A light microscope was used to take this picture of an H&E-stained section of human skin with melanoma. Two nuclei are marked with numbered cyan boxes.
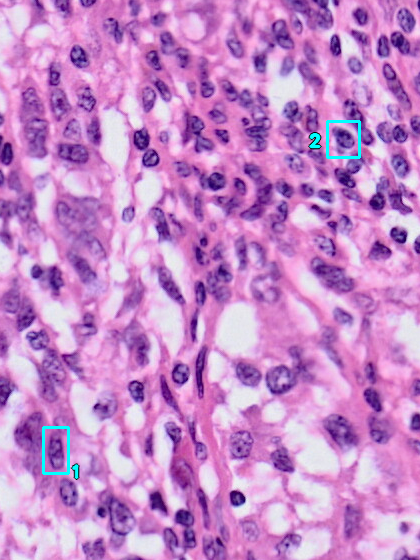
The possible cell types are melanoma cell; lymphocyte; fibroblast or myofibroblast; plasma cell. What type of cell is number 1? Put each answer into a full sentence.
Heads up, the cell numbered 1 is a melanoma cell.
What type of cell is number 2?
At number 2, the marked cell is a lymphocyte.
